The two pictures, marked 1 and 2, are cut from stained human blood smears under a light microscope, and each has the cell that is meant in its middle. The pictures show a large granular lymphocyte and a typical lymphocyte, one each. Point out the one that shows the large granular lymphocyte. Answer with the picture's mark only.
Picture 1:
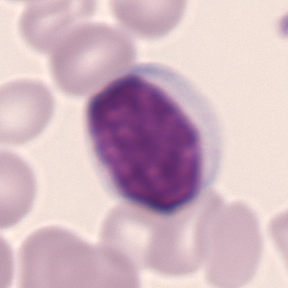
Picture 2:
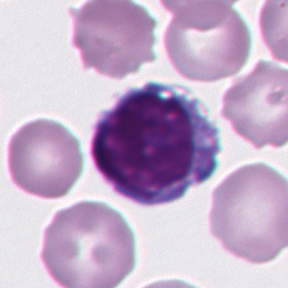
1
